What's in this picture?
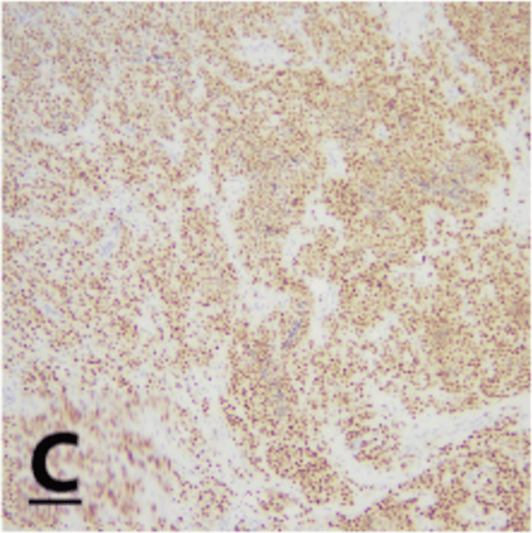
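The tumor cells form broad sheets and nests separated by pale, thin stromal bands. Nearly all tumor nuclei are stained brown, while the cells of the intervening stroma remain blue.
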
